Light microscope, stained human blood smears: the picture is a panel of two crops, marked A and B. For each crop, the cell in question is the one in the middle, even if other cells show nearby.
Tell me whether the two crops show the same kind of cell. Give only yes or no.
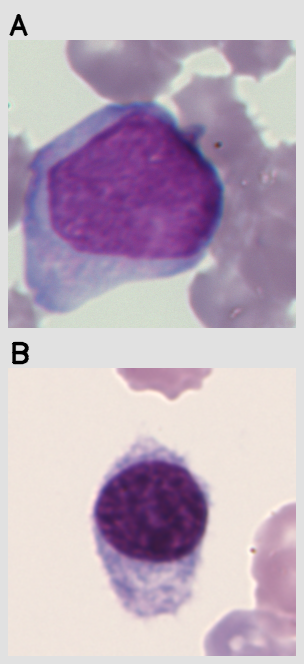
no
